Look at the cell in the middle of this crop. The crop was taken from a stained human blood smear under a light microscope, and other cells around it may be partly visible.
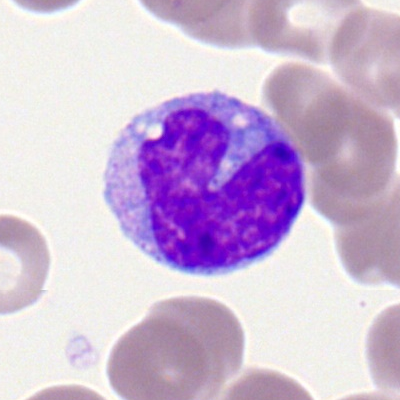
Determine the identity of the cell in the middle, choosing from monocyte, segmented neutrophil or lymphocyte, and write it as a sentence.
The centrally located cell in the crop is a monocyte.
